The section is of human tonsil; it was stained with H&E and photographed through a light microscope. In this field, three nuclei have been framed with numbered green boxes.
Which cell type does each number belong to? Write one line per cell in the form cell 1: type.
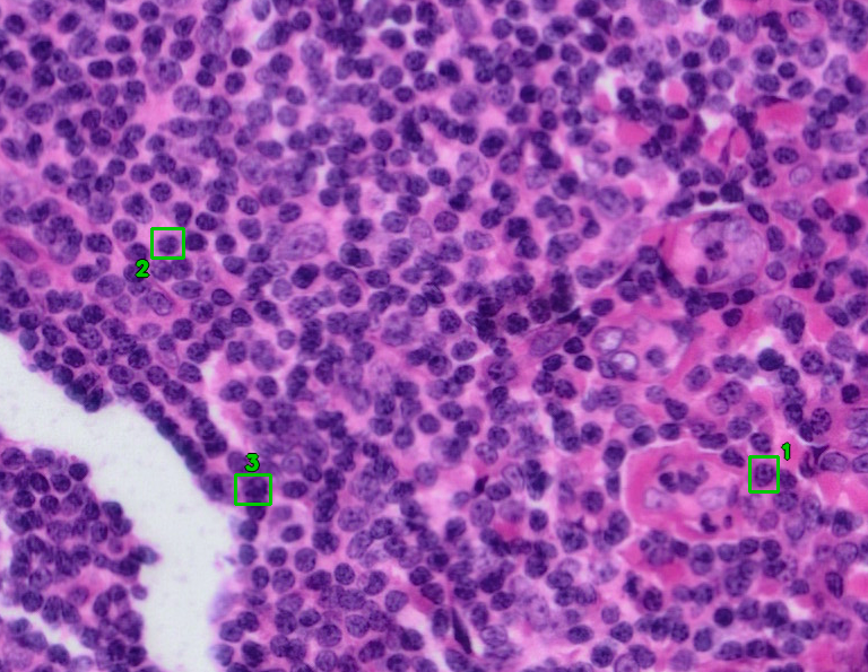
cell 1: plasma cell
cell 2: small lymphocyte
cell 3: small lymphocyte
